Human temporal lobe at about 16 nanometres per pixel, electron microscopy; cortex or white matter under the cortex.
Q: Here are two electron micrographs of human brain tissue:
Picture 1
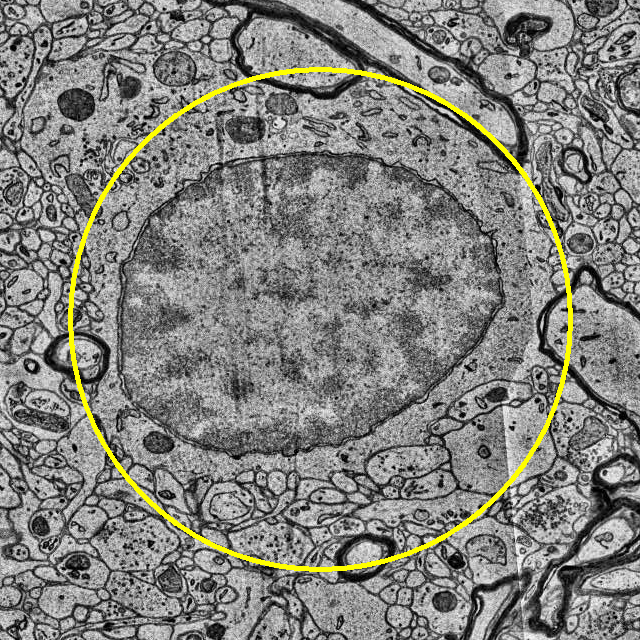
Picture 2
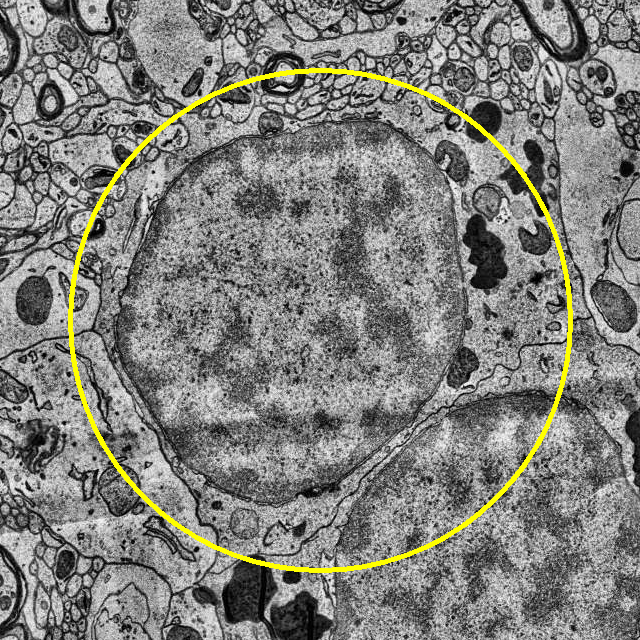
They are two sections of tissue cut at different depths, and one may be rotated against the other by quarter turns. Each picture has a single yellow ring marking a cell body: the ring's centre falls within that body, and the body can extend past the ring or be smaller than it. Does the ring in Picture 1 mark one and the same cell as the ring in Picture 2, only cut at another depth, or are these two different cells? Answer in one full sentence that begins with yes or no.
No, the two rings mark two different cells.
